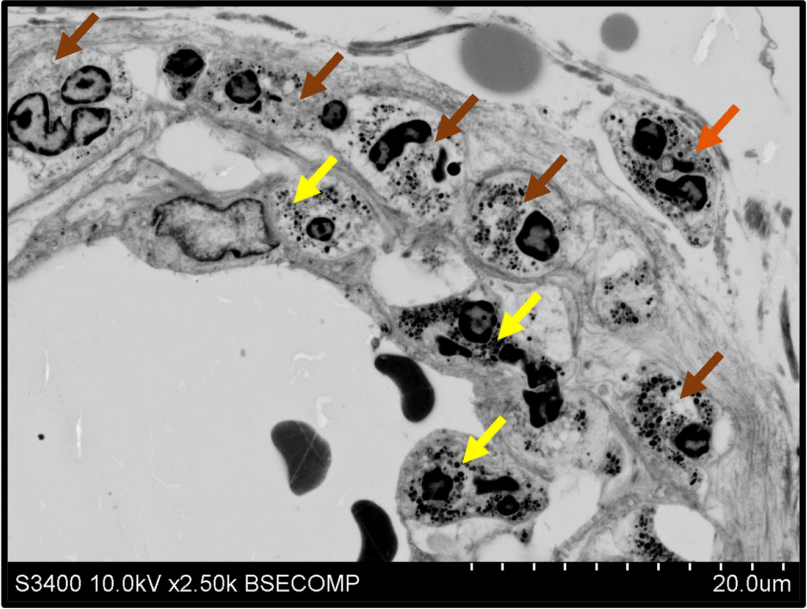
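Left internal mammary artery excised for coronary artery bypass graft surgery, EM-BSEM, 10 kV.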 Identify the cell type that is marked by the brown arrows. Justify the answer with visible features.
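Neutrophils. The marked cells have dark, lobed nuclei. Their cytoplasm contains numerous dark granules. They lie within the fibrous tissue of the vessel wall.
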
